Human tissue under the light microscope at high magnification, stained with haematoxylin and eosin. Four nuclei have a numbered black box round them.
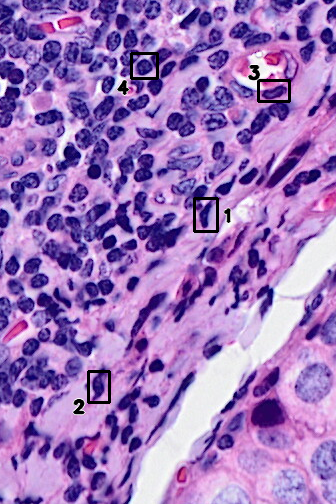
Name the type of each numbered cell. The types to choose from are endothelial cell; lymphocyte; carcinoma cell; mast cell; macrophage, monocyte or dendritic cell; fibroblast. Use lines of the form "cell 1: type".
cell 1: lymphocyte
cell 2: lymphocyte
cell 3: endothelial cell
cell 4: lymphocyte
